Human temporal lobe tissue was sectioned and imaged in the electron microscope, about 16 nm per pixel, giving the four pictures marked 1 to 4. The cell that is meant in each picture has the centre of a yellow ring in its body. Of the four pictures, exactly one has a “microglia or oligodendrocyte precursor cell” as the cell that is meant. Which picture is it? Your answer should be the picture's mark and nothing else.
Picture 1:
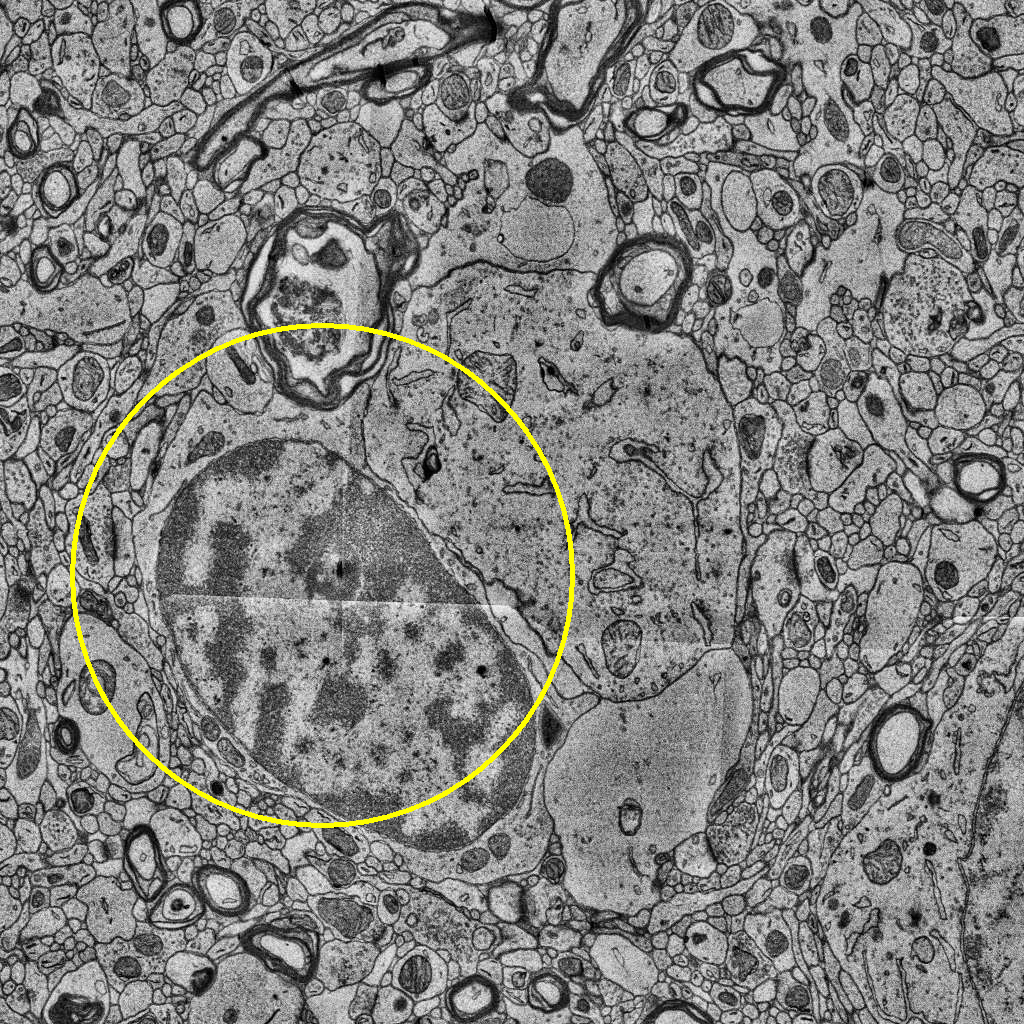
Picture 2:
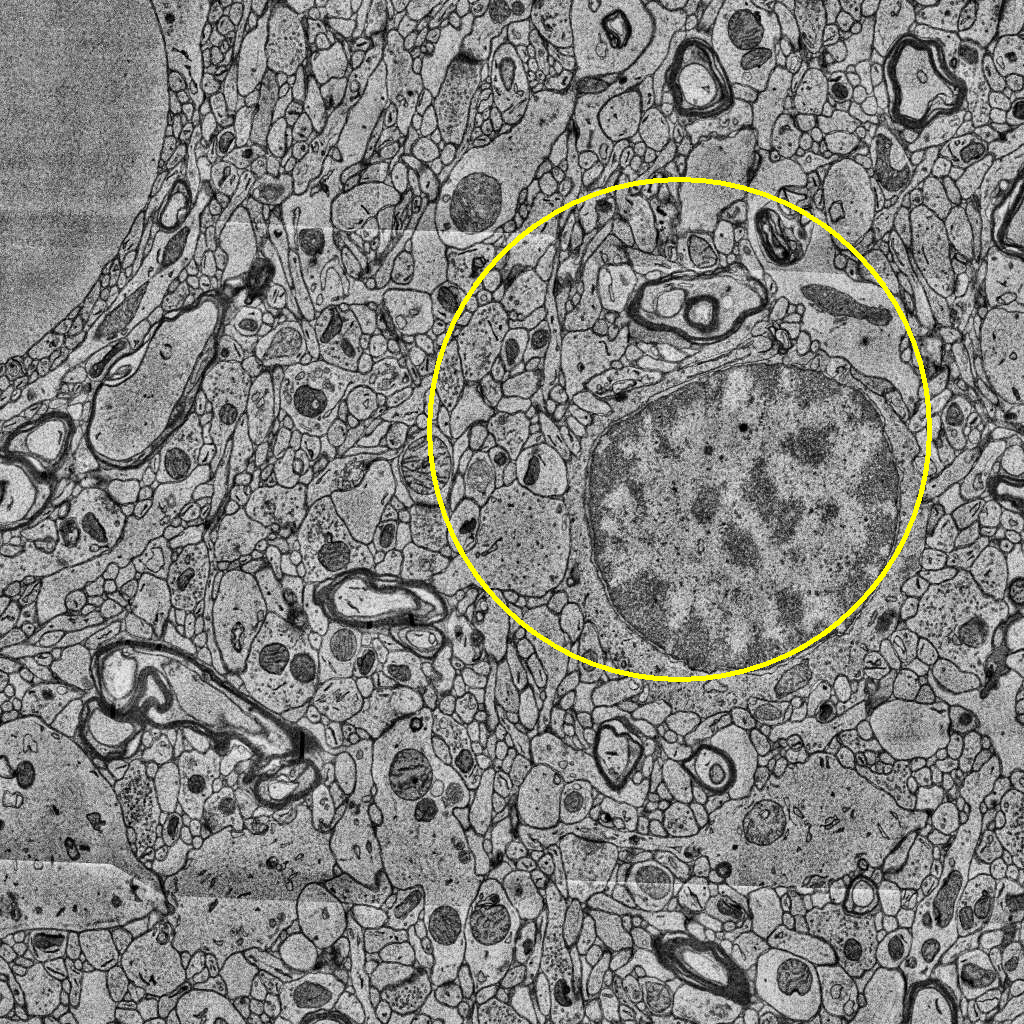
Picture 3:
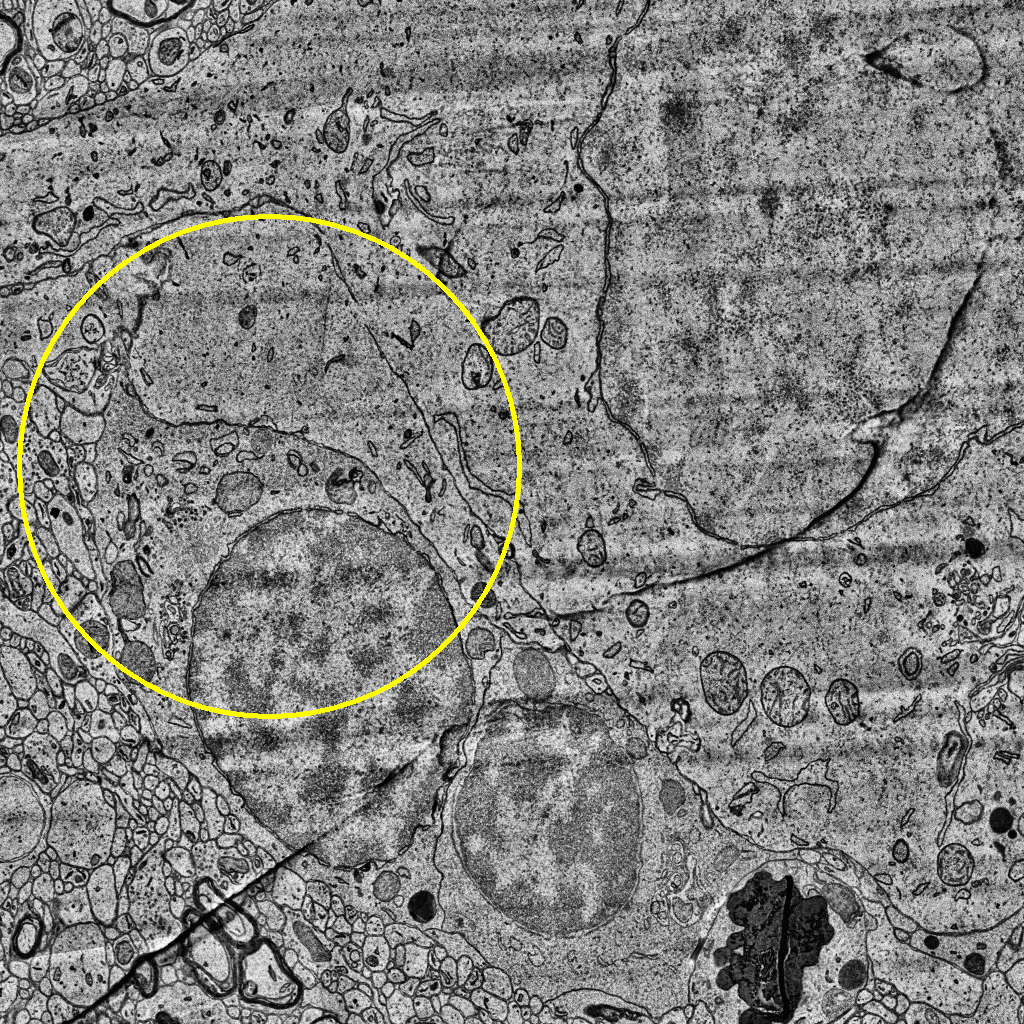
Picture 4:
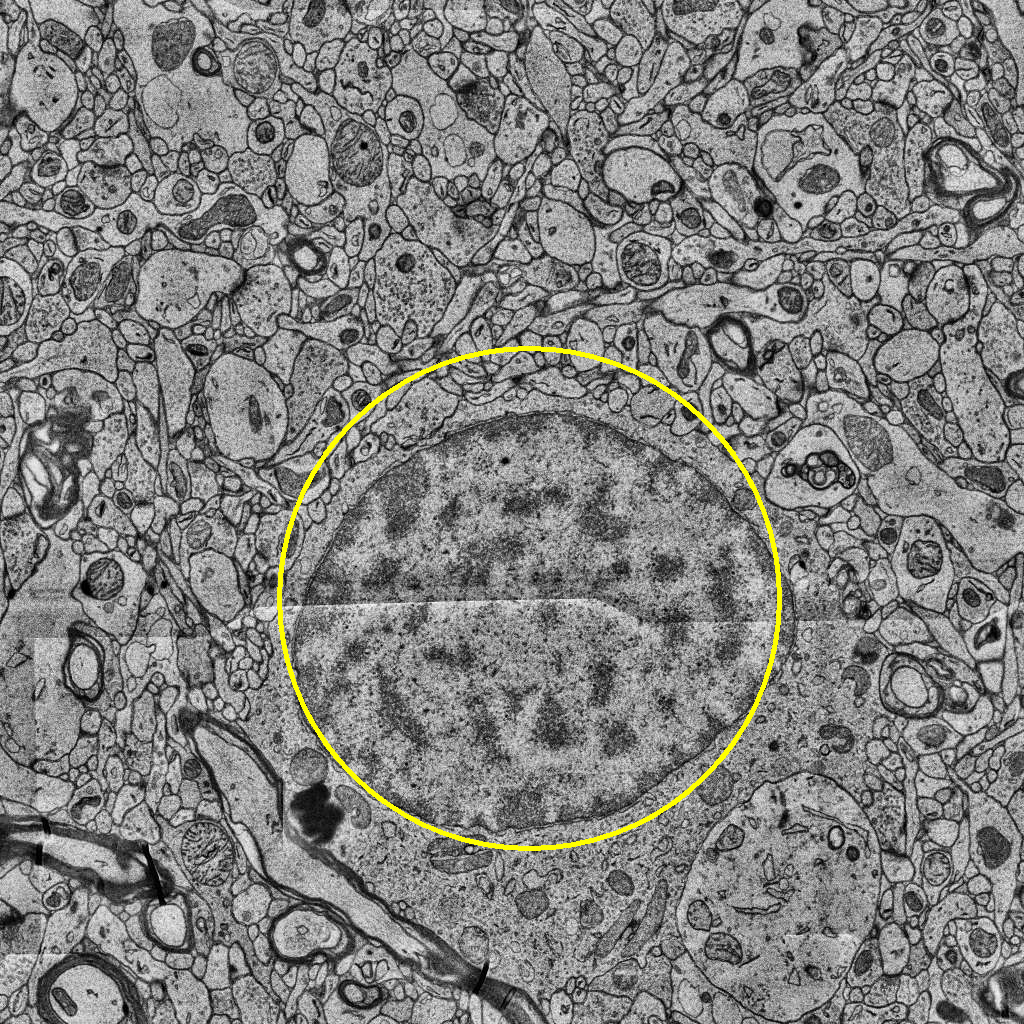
1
